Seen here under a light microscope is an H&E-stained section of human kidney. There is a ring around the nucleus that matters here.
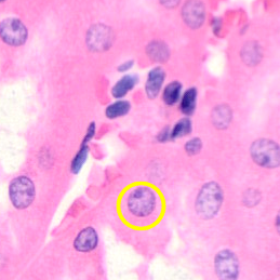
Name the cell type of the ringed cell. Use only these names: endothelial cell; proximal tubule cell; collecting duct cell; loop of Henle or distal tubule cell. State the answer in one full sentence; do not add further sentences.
Among the cells in this section, the ringed cell is a proximal tubule cell.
